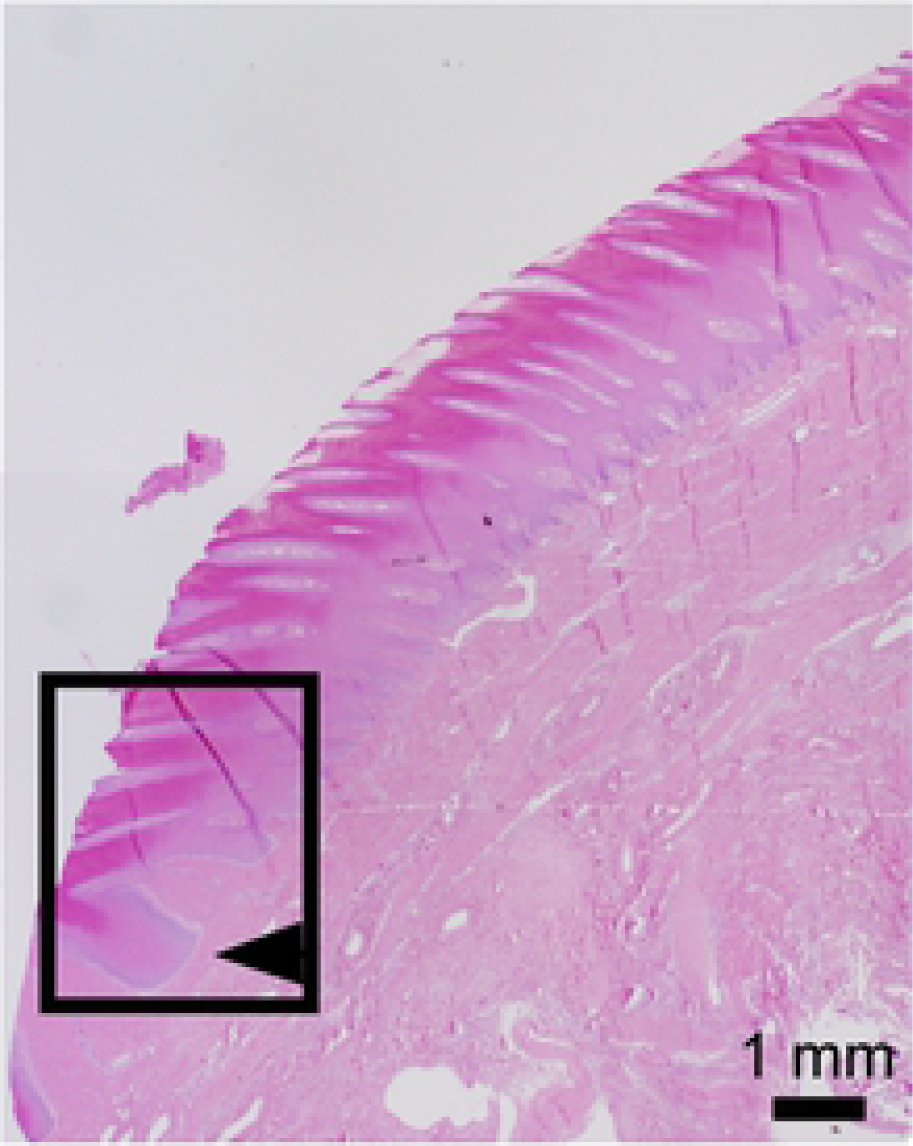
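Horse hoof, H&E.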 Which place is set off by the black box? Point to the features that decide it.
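Box encloses the lower end of the pink epithelium where the lamellar ridges begin.
Coronary-lamellar junction.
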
